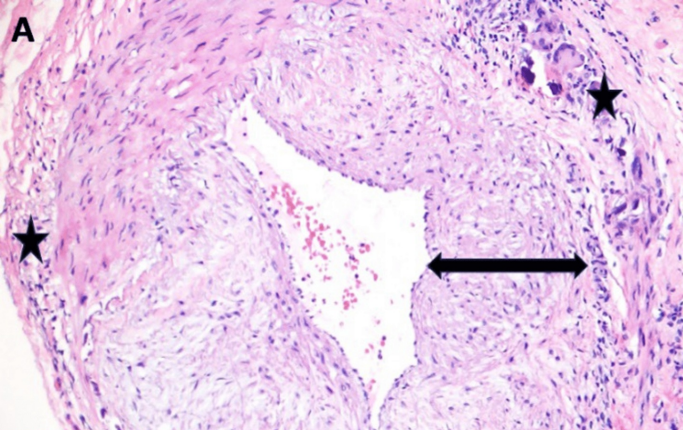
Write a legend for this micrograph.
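This is a cross-section of an artery with a markedly thickened tunica intima and inflammation of the outer wall. The intima forms a broad layer of pale, loose tissue with scattered spindle-shaped nuclei, narrowing the lumen to an irregular slit holding red blood cells. Outside it the wall shows pink layers with dense clusters of small dark nuclei, and at upper right a few large cells with several nuclei lie beside dark purple fragments. The outermost layer is fibrous with further scattered inflammatory cells.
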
